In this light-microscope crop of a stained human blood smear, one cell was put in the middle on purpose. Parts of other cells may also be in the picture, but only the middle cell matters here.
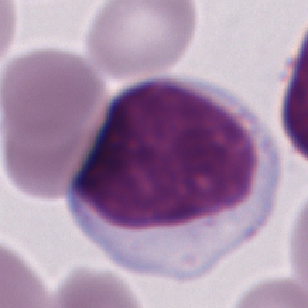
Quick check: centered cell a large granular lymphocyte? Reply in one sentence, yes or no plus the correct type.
Yes, centred in the crop is a large granular lymphocyte.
